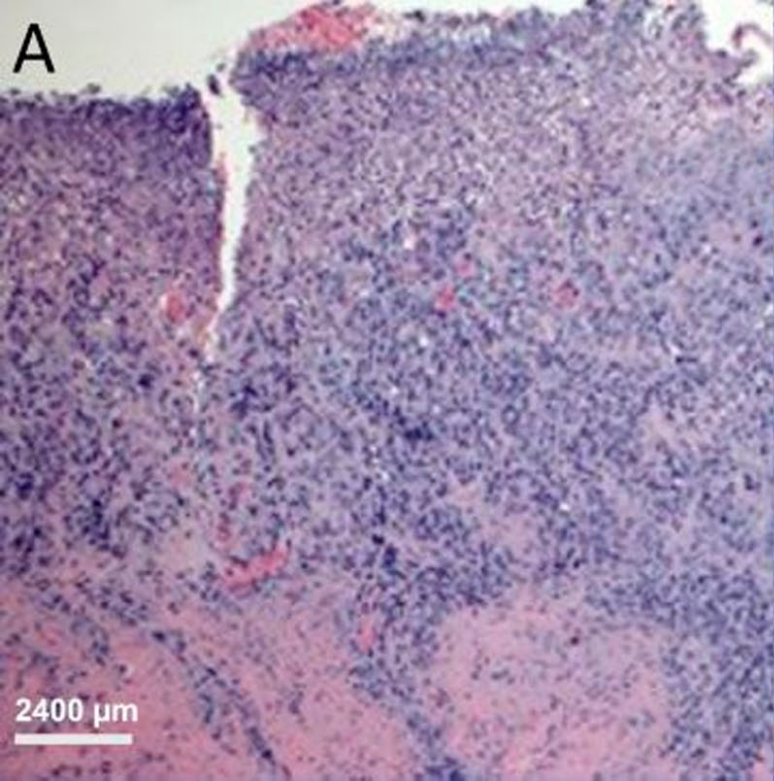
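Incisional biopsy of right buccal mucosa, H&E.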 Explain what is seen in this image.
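No covering epithelial layer is seen at the surface; instead the top is formed by densely cellular tissue with dark nuclei and some red blood cells. Scattered small vessels with red blood cells lie within the cellular tissue. Toward the bottom the tissue becomes paler and pinker with fewer cells.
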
